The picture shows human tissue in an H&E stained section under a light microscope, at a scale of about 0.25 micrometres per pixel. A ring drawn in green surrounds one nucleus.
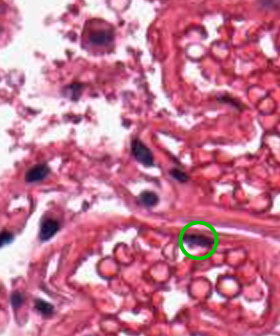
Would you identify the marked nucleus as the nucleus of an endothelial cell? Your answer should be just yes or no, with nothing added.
yes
